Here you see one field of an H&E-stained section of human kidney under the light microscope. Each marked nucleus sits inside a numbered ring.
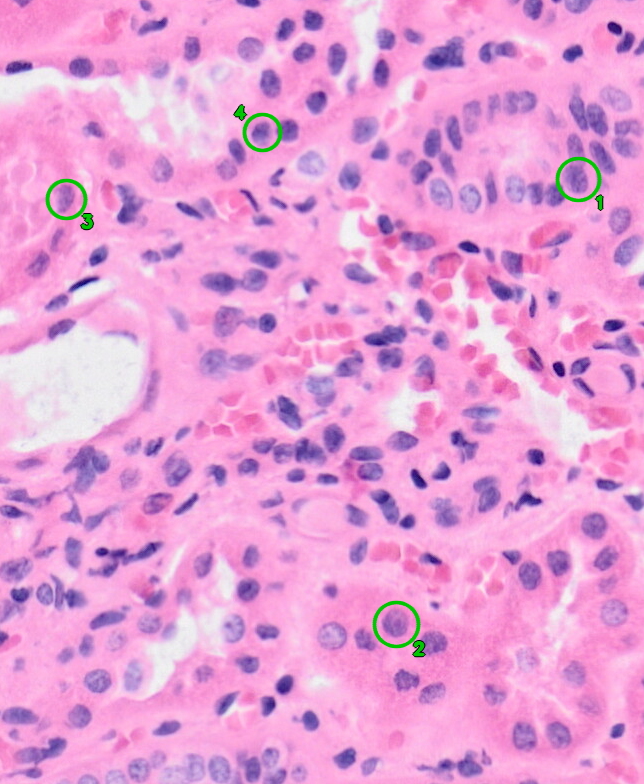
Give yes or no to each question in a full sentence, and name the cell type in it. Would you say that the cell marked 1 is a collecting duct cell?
Yes, the cell whose nucleus carries number 1 is a collecting duct cell.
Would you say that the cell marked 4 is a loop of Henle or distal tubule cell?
Yes, the marked cell with number 4 is a loop of Henle or distal tubule cell.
